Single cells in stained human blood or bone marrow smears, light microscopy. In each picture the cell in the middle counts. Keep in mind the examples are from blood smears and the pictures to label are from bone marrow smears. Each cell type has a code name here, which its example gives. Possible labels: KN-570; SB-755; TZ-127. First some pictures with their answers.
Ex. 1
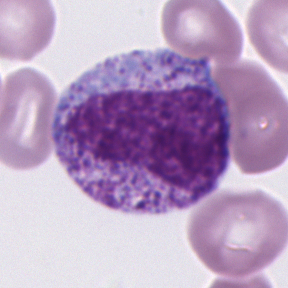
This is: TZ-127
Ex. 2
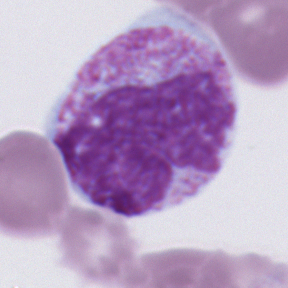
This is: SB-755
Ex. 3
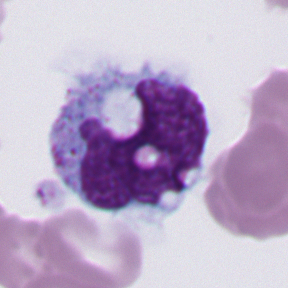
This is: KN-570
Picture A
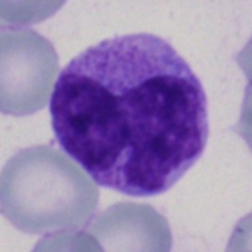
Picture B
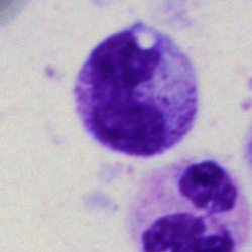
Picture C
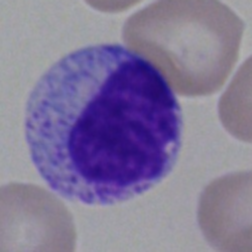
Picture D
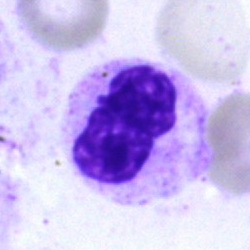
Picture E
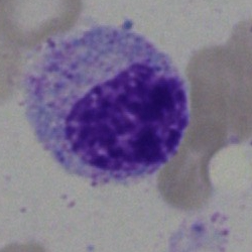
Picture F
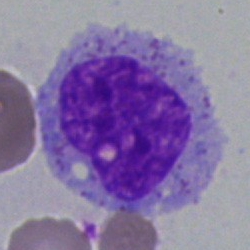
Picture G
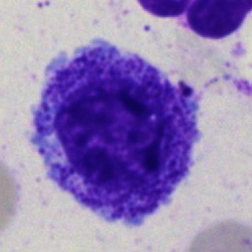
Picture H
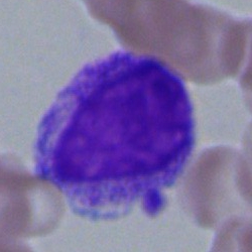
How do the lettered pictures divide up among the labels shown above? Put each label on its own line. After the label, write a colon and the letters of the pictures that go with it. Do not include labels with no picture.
KN-570: A
SB-755: B, D
TZ-127: C, E, F, G, H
